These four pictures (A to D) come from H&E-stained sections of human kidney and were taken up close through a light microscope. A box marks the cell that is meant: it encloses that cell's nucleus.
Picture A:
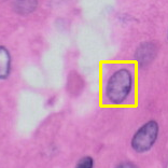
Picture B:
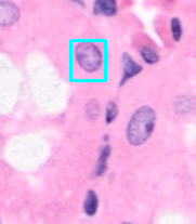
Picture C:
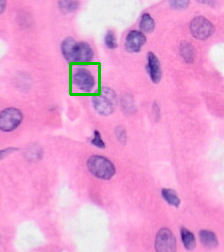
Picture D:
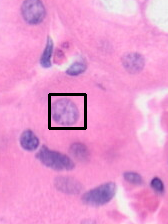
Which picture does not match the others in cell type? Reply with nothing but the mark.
C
